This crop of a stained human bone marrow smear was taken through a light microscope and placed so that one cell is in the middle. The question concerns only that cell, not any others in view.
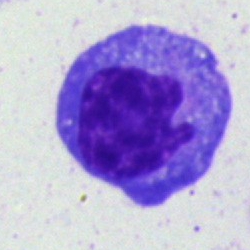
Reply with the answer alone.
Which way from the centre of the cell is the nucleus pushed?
lower left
